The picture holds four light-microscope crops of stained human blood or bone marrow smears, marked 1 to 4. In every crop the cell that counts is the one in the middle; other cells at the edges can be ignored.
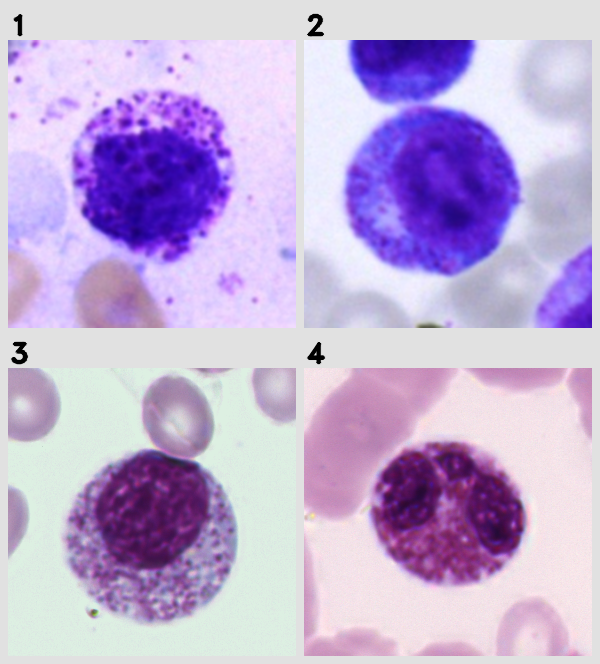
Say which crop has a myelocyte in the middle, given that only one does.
3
